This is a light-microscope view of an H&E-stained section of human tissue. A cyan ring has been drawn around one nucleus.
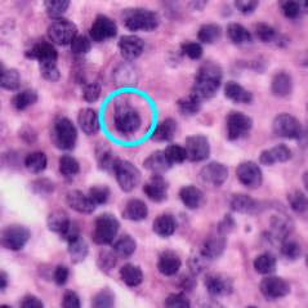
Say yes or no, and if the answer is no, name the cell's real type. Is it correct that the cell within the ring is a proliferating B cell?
Yes.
